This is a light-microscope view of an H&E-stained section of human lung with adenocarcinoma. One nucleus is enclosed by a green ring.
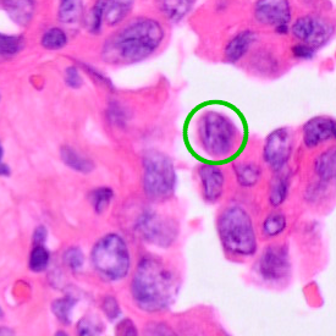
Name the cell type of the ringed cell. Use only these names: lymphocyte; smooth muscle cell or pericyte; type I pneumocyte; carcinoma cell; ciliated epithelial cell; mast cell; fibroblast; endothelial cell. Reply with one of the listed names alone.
carcinoma cell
